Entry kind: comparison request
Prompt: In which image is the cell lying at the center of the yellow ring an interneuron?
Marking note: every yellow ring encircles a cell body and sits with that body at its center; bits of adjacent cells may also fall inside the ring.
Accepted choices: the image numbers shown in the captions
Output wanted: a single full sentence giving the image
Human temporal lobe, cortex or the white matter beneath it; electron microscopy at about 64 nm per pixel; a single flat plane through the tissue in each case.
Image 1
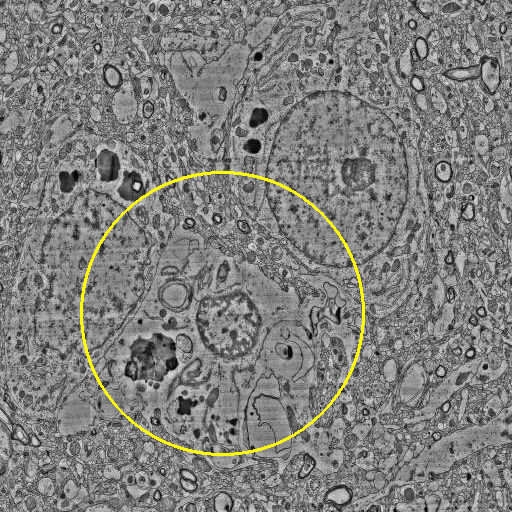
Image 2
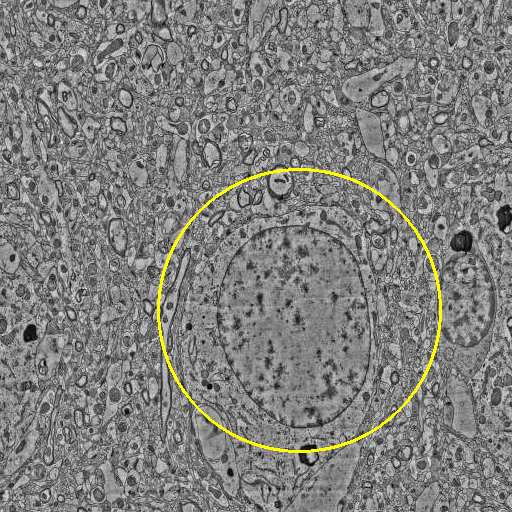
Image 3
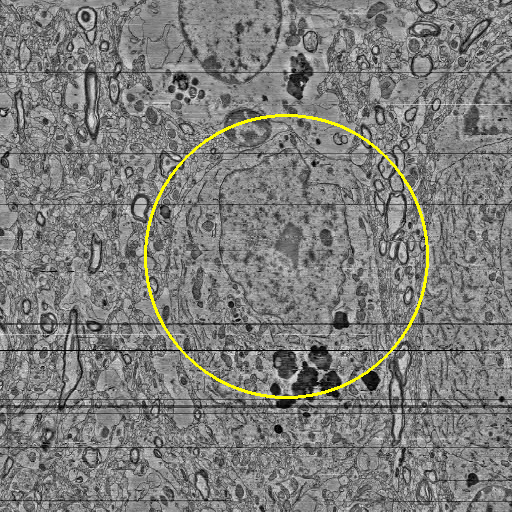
In image 3, the ringed cell at the center matches the prompt.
